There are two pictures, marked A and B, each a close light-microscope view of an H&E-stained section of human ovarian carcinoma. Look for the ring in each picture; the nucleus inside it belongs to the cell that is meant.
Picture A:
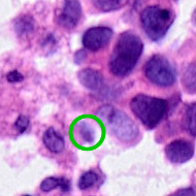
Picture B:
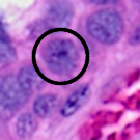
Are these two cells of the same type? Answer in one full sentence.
No, picture A shows a “macrophage or monocyte” and picture B shows a carcinoma cell.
